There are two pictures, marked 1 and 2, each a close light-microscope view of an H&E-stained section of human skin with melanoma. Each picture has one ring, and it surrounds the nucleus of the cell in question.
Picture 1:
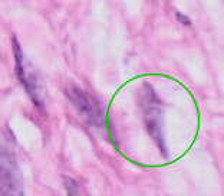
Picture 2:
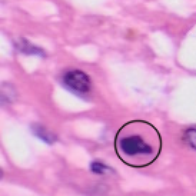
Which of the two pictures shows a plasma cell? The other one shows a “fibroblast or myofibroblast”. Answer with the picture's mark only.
2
